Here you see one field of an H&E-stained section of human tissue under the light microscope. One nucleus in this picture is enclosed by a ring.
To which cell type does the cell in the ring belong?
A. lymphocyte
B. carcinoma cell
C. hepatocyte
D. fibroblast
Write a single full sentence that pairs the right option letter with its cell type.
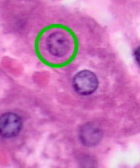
Option C wins here: the cell in the ring is a hepatocyte.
